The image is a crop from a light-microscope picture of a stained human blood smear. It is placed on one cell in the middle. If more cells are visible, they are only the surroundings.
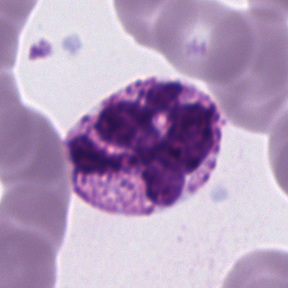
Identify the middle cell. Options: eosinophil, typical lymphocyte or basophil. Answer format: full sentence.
This crop is built around a basophil at its centre.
